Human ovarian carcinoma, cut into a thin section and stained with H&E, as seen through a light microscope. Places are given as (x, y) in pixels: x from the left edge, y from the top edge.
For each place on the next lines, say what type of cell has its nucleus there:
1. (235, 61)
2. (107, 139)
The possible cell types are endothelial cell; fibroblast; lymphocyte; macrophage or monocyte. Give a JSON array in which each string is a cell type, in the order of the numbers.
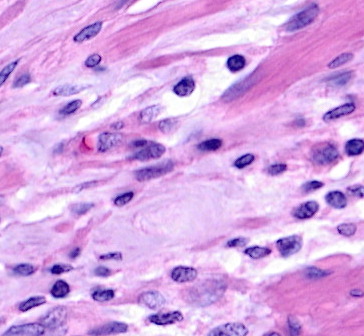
["lymphocyte", "endothelial cell"]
